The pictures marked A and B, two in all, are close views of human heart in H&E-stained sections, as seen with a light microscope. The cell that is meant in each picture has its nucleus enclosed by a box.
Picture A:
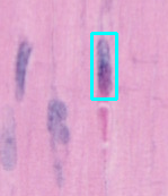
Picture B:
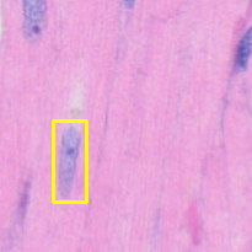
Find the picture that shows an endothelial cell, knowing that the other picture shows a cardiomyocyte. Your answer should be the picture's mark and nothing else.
A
